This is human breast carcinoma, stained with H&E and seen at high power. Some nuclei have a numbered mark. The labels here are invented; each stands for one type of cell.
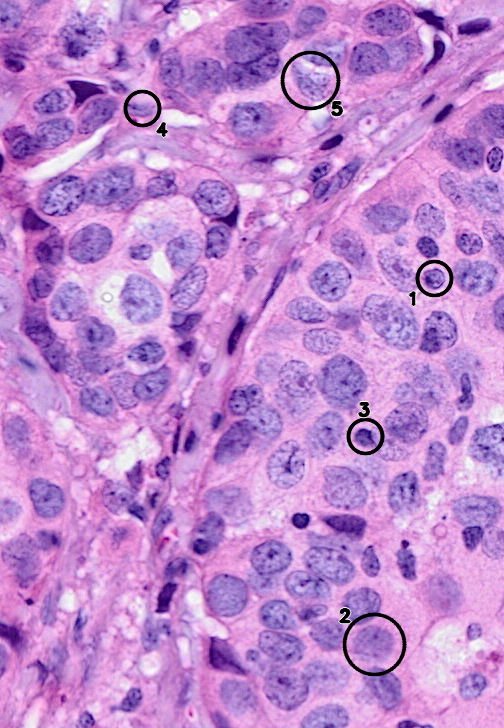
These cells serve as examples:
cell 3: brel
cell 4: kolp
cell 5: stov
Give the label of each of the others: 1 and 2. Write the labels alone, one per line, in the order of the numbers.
brel
stov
